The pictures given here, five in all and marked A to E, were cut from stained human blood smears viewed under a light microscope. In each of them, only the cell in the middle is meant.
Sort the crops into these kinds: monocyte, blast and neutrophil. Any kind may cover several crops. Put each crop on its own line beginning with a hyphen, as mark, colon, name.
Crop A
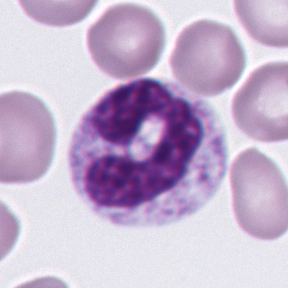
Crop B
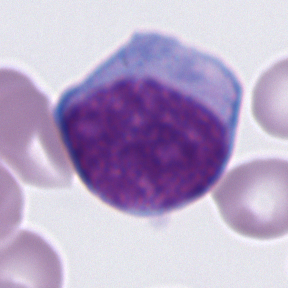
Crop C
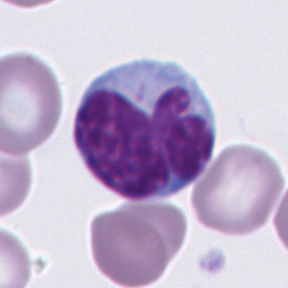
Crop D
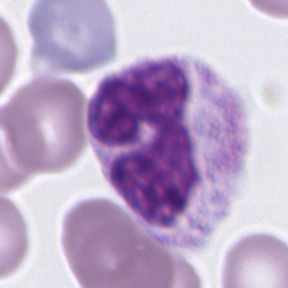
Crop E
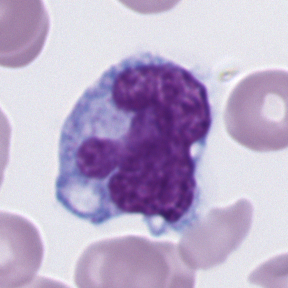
- A: neutrophil
- B: blast
- C: blast
- D: neutrophil
- E: monocyte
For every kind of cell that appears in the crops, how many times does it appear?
neutrophil: 2
blast: 2
monocyte: 1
